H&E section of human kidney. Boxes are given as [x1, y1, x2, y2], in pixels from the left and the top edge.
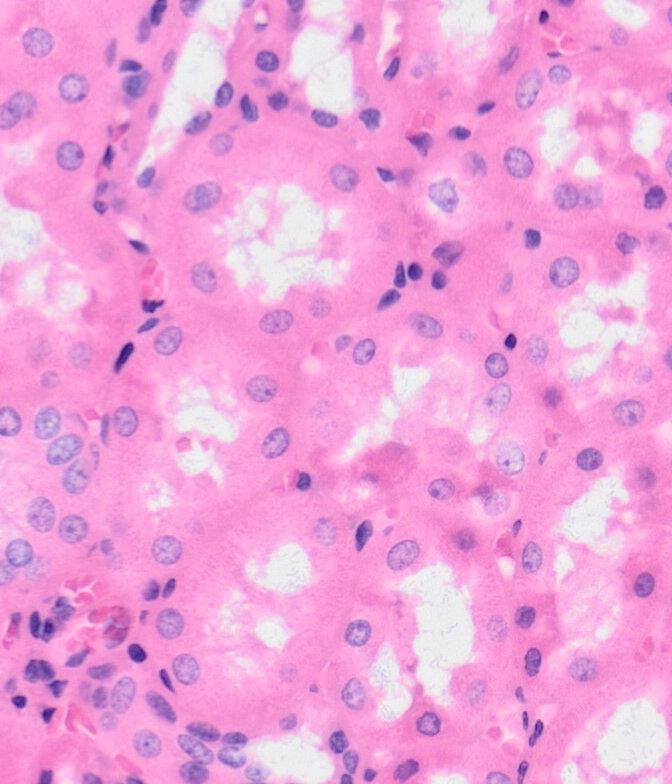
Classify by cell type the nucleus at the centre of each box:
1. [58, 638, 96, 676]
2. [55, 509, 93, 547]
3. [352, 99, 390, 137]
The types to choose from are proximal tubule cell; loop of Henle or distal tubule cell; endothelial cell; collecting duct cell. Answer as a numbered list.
1. endothelial cell
2. proximal tubule cell
3. loop of Henle or distal tubule cell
